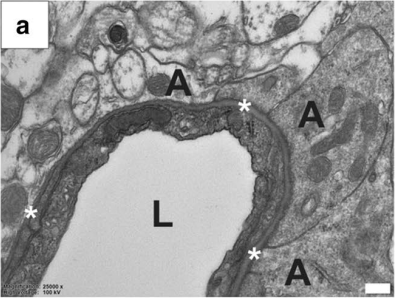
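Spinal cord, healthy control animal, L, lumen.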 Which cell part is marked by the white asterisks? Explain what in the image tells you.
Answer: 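Asterisks sit on a thin dense layer along the outer surface of the vessel wall. The layer lies between the vessel wall and the surrounding cell processes. That points to this answer: basal laminae.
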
